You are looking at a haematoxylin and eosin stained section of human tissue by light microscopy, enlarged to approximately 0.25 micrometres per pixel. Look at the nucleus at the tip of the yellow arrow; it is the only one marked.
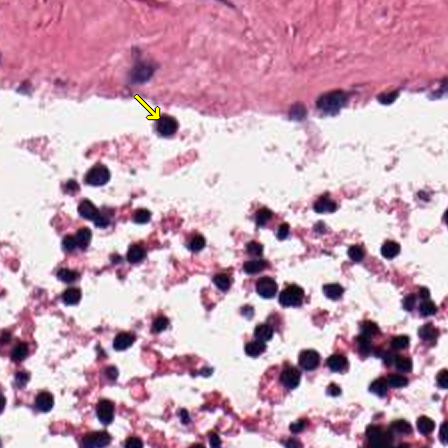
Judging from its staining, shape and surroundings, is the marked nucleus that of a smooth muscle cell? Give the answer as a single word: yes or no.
no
